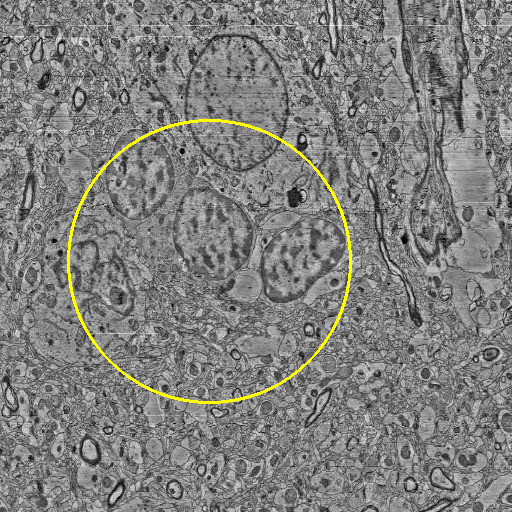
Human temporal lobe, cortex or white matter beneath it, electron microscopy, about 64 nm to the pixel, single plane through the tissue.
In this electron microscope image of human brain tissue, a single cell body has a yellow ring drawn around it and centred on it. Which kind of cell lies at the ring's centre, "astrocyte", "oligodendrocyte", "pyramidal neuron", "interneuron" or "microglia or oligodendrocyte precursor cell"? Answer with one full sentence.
It is an oligodendrocyte whose cell body lies at the centre of the yellow ring here.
